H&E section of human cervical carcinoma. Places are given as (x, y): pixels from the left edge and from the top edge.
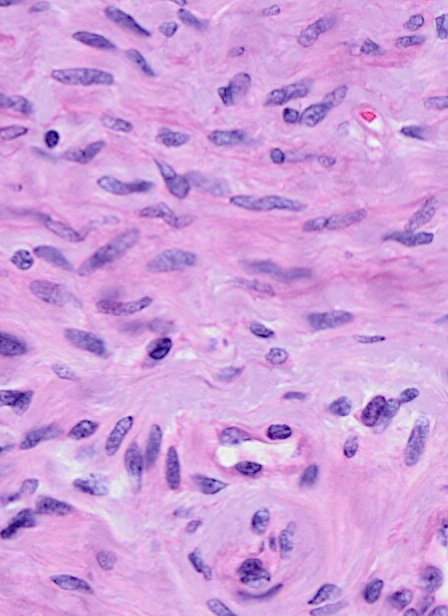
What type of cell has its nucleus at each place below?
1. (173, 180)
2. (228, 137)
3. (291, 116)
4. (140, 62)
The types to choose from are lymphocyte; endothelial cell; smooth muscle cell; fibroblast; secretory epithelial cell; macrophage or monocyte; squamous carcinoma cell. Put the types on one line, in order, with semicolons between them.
smooth muscle cell; smooth muscle cell; smooth muscle cell; fibroblast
